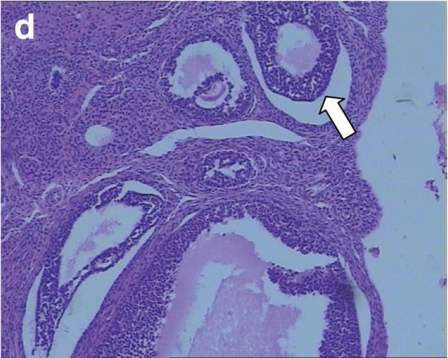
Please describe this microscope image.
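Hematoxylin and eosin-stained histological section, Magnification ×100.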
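Several follicles of different sizes lie in dense purple-staining stroma, with an empty space at the right edge. The follicles are lined by layers of small cells with dark nuclei around pale pink cavities, and one smaller follicle holds a pale oocyte. The stroma between them is made of tightly packed cells with dark elongated nuclei.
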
